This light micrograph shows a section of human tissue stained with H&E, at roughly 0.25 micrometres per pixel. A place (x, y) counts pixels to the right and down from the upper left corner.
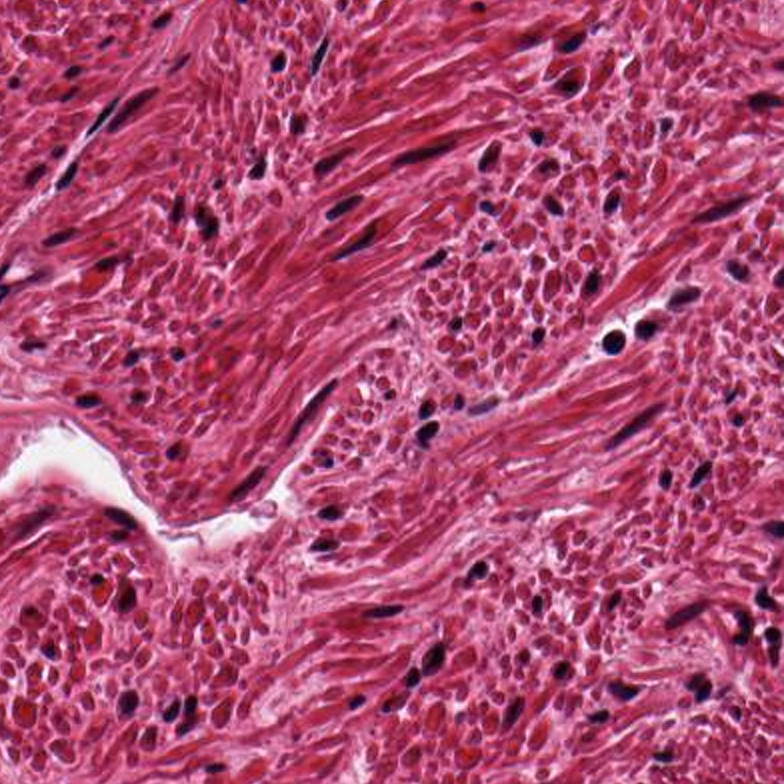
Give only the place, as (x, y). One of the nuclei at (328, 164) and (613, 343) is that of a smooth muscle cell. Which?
(328, 164)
